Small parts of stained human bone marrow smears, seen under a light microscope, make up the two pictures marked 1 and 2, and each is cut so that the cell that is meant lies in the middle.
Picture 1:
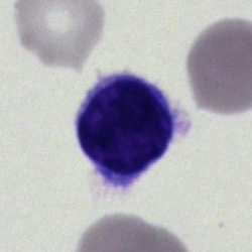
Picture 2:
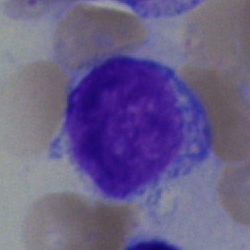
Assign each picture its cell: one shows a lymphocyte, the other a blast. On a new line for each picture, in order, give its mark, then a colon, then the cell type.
1: lymphocyte
2: blast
